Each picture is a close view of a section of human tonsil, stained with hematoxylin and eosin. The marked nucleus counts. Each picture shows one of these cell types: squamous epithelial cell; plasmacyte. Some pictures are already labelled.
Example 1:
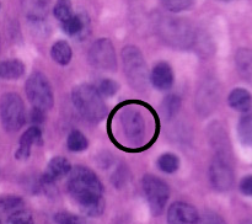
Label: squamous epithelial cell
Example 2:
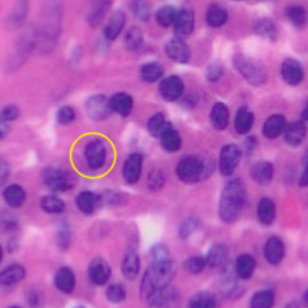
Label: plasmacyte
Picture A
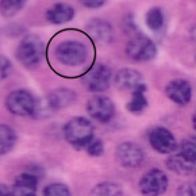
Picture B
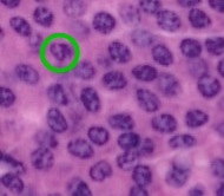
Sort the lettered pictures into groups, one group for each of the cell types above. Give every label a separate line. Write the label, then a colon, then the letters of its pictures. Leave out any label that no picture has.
plasmacyte: A, B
